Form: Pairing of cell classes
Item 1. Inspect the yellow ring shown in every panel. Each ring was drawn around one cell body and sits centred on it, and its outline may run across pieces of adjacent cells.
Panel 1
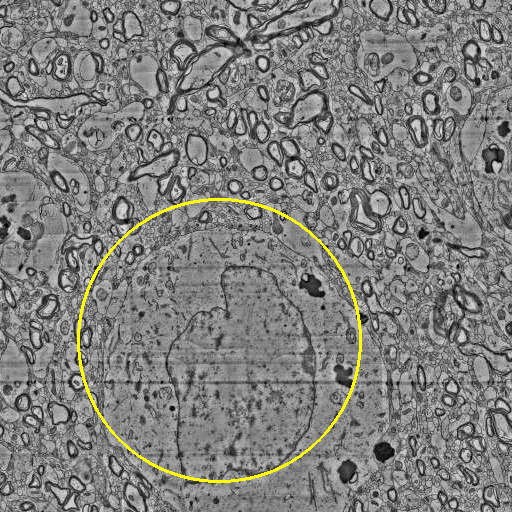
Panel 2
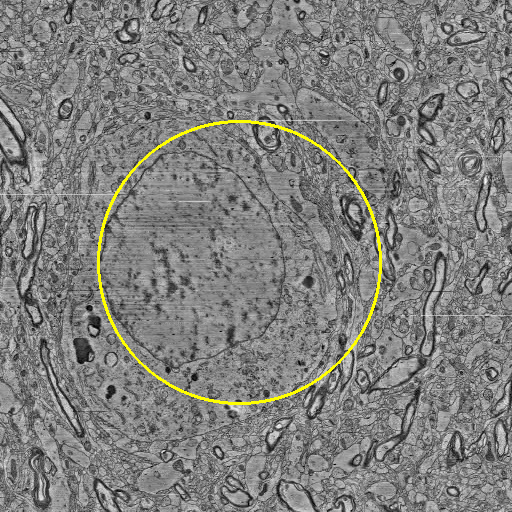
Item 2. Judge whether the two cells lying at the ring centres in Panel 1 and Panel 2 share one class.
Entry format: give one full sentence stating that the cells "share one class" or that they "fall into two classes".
The cells at the ring centres in Panel 1 and Panel 2 share one class.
